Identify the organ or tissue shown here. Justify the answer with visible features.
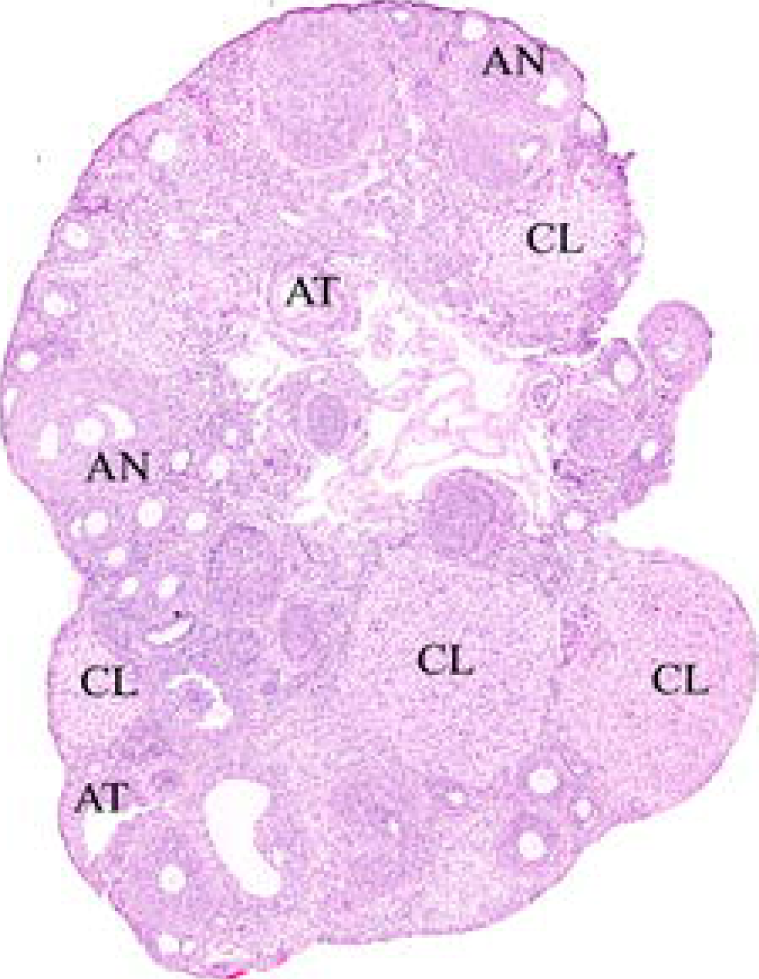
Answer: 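Round follicles of many sizes lie in the outer part. Large pale rounded bodies fill much of the section. A loose central zone holds vessels. The answer: ovarian.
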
